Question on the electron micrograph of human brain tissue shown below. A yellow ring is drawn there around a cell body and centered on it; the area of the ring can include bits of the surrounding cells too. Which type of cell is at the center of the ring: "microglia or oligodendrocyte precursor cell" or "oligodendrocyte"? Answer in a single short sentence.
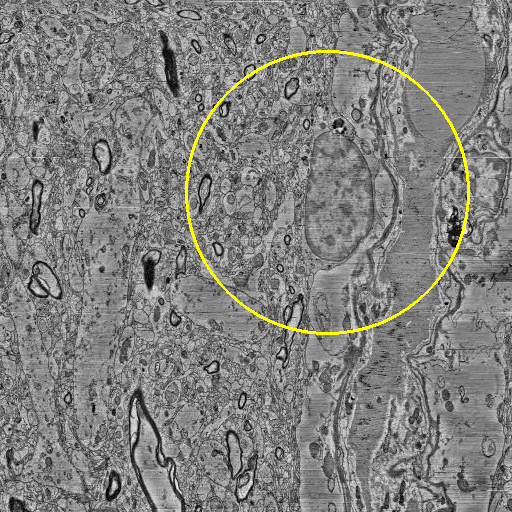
The ring is centered on an oligodendrocyte.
